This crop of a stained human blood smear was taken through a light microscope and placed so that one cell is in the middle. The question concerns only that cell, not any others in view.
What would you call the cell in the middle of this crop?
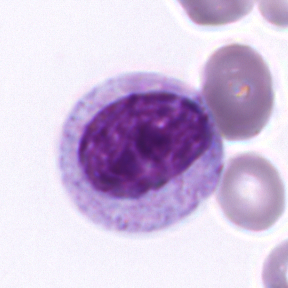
myelocyte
